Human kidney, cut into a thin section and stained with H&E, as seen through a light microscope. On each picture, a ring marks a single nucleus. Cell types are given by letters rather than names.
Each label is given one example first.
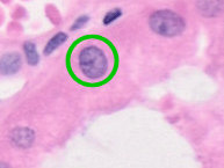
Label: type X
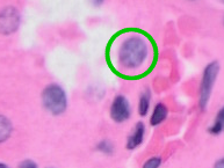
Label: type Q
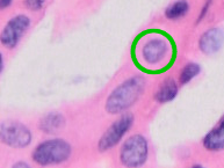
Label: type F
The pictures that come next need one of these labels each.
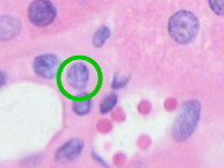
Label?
type F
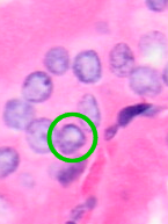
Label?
type F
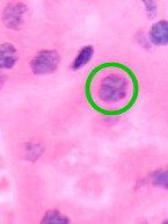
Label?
type X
